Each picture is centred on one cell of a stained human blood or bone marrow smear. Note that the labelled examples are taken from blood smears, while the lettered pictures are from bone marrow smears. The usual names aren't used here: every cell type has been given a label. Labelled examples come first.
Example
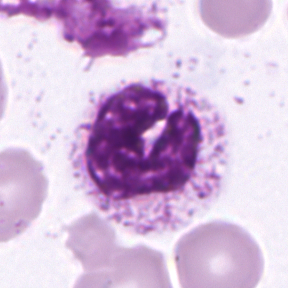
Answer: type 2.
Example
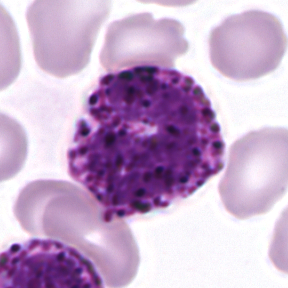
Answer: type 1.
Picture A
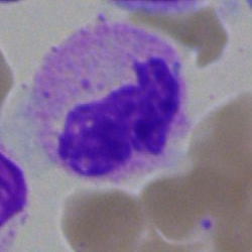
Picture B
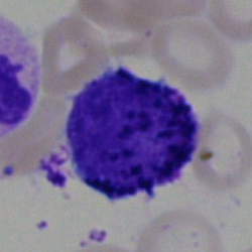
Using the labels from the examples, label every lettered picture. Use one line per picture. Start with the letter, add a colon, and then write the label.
A: type 1.
B: type 1.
